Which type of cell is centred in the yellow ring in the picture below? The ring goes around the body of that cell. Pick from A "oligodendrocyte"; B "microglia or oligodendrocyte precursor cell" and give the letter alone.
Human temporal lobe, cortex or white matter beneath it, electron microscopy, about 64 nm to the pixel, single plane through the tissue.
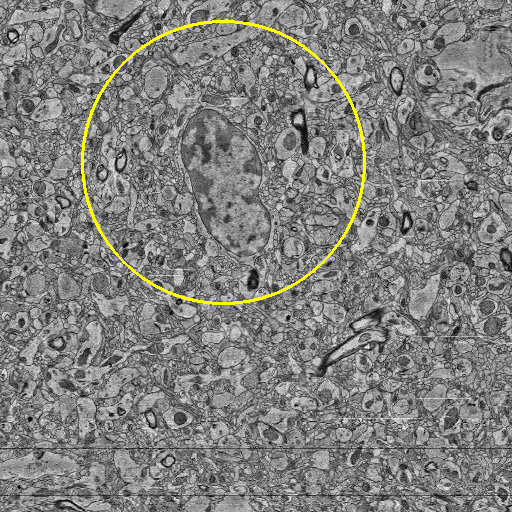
B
